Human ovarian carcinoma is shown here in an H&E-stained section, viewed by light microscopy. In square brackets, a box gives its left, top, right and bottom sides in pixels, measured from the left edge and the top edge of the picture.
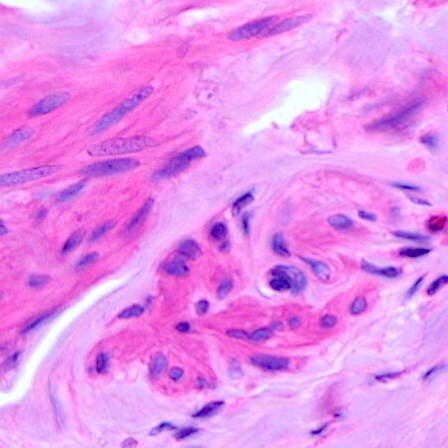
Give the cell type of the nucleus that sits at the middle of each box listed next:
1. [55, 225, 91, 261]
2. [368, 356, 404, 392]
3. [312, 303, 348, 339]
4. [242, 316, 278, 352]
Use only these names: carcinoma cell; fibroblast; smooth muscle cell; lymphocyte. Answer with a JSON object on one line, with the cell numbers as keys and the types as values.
{"1": "smooth muscle cell", "2": "fibroblast", "3": "smooth muscle cell", "4": "smooth muscle cell"}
